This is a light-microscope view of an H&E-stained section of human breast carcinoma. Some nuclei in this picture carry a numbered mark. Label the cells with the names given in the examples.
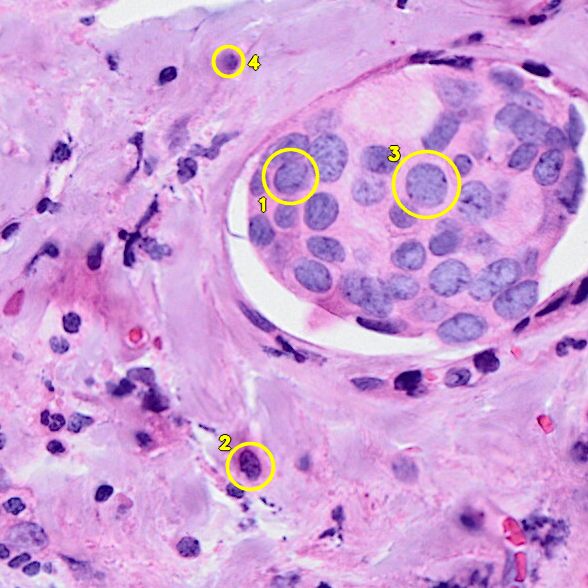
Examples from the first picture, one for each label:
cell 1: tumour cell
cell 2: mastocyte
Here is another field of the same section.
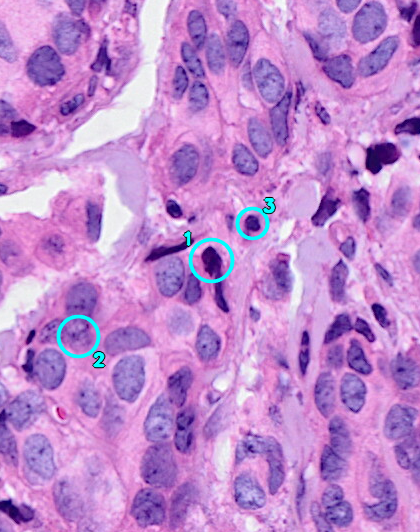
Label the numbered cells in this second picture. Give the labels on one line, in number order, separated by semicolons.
tumour cell; tumour cell; mastocyte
